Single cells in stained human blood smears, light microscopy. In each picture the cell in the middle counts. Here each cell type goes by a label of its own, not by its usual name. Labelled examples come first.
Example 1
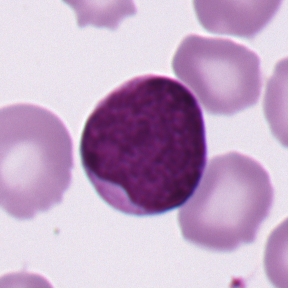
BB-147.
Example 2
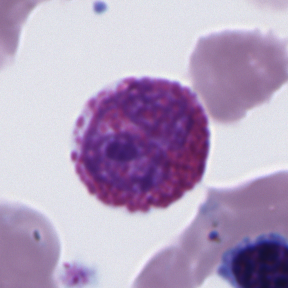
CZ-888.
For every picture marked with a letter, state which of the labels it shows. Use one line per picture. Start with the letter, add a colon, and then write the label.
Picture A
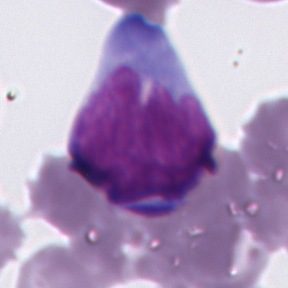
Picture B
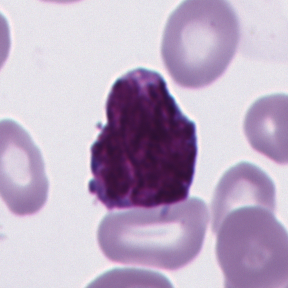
A: BB-147.
B: BB-147.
